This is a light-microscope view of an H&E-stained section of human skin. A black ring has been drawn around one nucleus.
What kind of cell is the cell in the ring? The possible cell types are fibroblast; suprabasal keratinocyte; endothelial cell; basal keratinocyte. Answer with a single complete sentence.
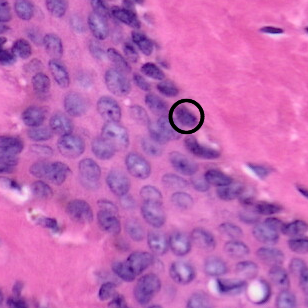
With respect to cell type, the cell in the ring is a basal keratinocyte.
